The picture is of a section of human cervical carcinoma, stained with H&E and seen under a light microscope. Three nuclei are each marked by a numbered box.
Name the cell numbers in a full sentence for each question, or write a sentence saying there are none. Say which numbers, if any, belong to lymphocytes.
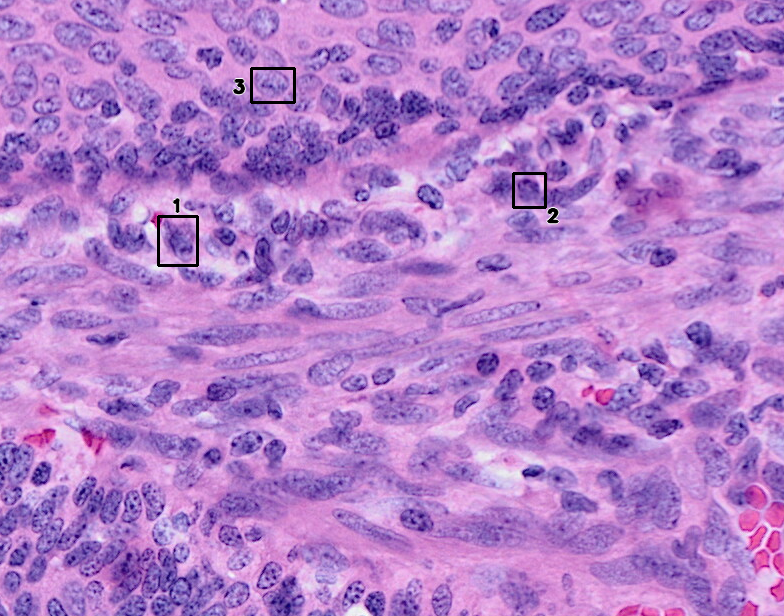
Of all the cells bearing numbers, cell 2 is the only one that is a lymphocyte.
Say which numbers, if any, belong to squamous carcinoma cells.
Cell 3 is the only one of the numbered cells that is a squamous carcinoma cell.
